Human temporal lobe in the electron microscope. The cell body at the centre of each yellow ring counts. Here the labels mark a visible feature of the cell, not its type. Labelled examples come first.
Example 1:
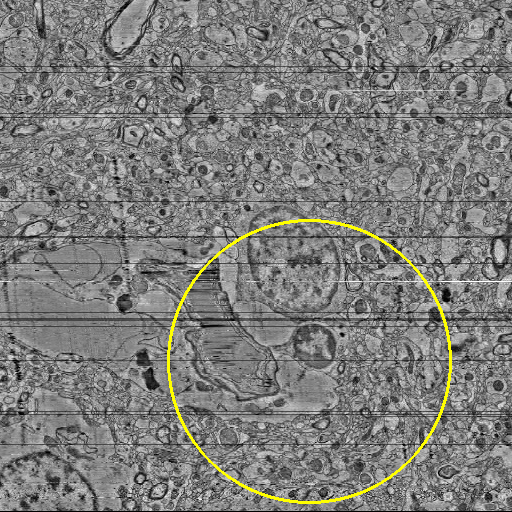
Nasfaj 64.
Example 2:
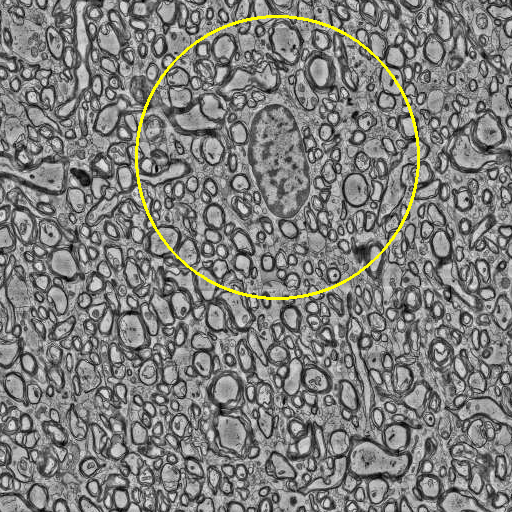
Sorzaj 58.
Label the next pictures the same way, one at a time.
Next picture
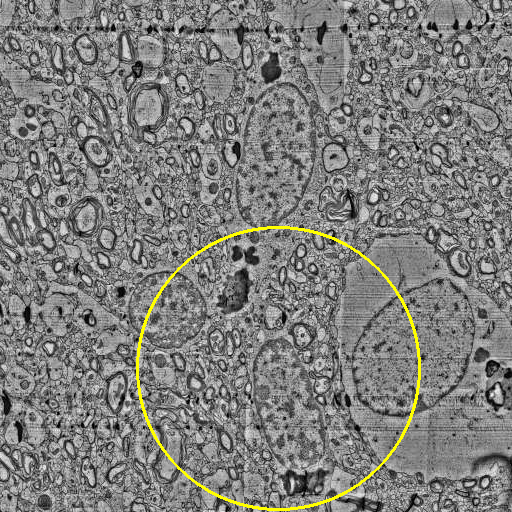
Sorzaj 58.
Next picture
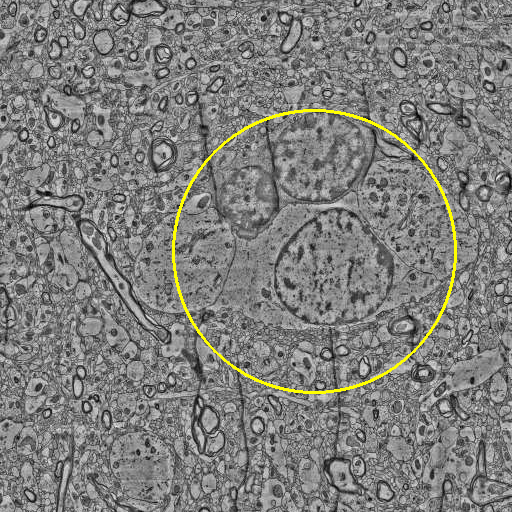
Nasfaj 64.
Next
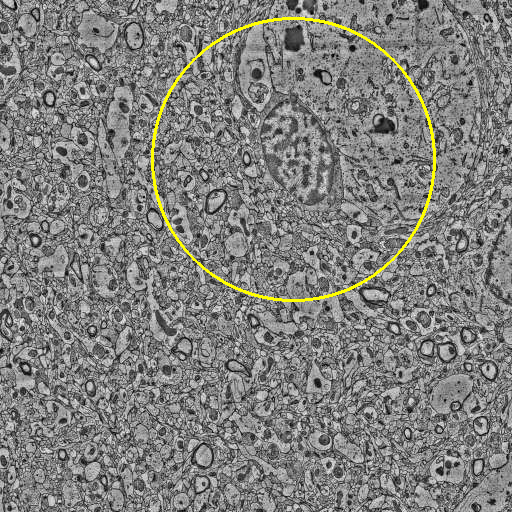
Sorzaj 58.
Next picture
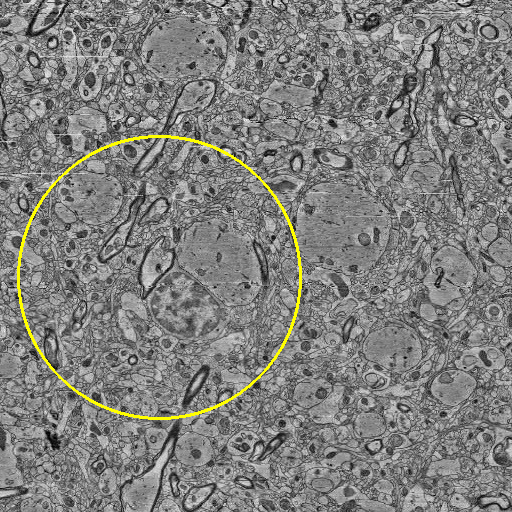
Nasfaj 64.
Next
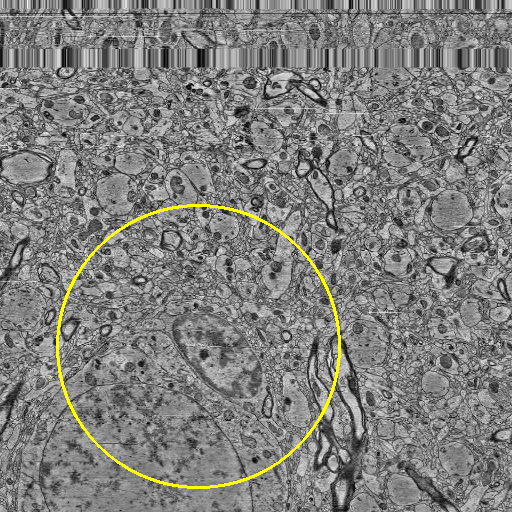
Sorzaj 58.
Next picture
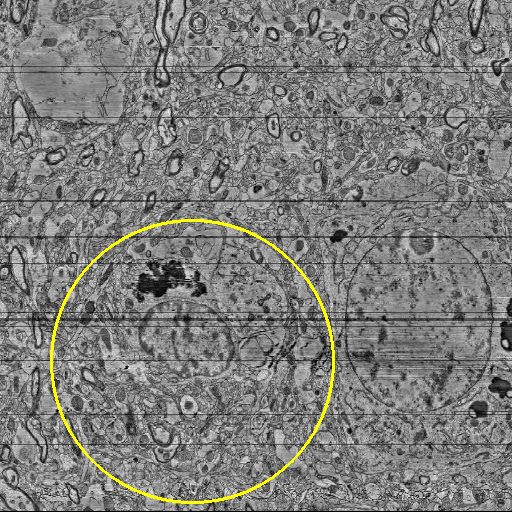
Nasfaj 64.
